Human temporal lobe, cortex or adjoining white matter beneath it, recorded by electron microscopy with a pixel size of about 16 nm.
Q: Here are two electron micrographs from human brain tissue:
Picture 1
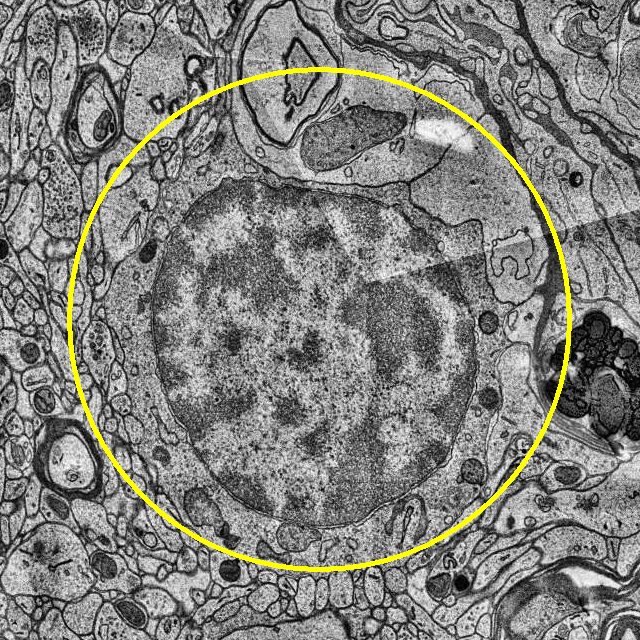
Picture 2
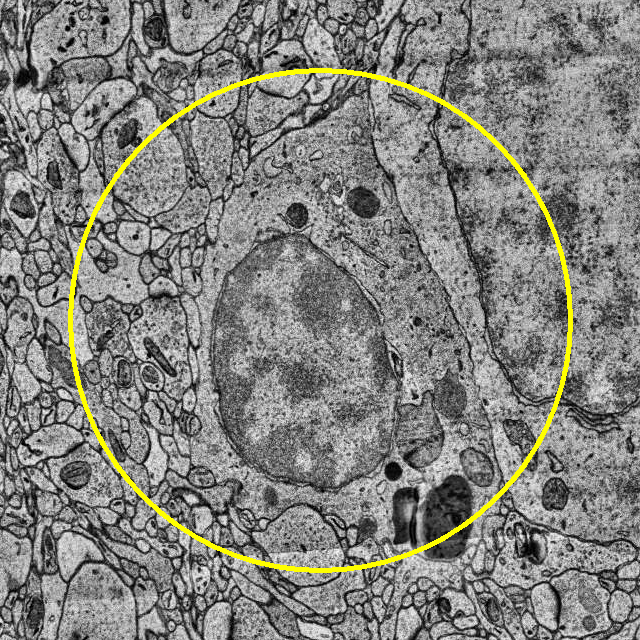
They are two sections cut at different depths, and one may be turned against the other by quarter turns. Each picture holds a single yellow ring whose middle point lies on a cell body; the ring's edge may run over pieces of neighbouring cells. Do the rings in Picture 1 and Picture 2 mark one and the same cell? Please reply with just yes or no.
no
